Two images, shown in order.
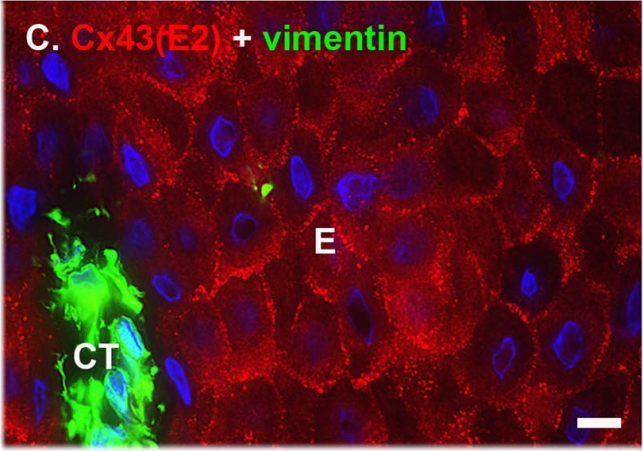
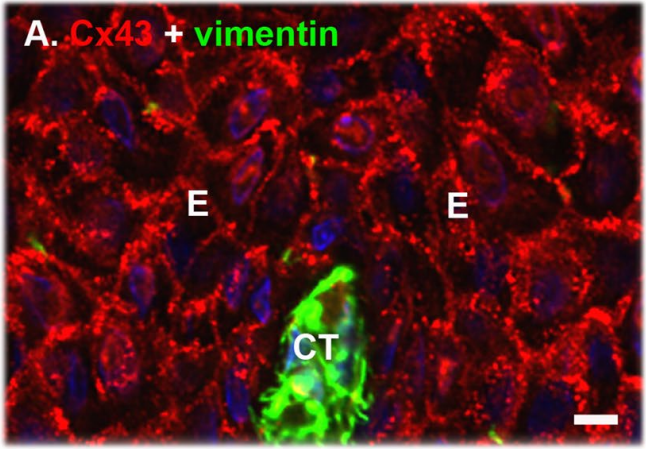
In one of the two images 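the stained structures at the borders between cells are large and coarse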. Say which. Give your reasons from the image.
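The second image. First image: the cell borders are outlined by fine, small red dots. Second image: the cell borders carry thick, chunky red plaques.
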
